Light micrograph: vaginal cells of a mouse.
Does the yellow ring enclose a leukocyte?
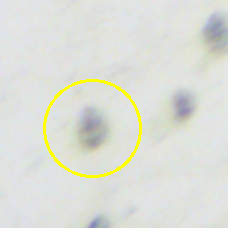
Yes. The ring encloses a leukocyte.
